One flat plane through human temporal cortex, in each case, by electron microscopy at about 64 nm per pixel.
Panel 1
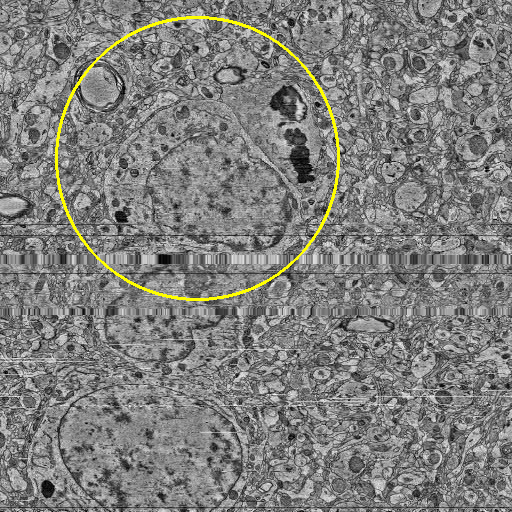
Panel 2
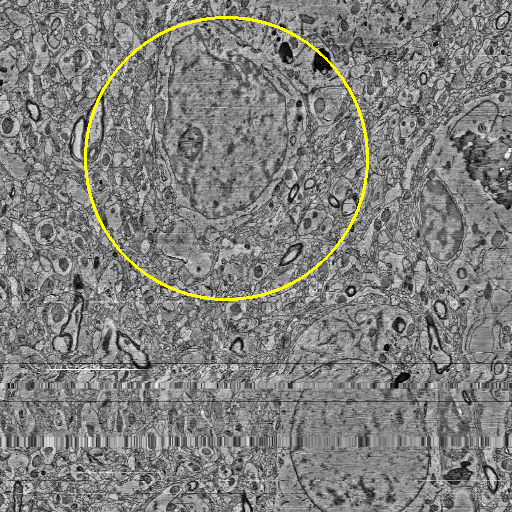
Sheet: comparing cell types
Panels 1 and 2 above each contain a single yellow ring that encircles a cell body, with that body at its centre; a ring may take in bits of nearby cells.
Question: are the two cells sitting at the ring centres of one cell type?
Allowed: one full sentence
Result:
Yes, the ring-centre cells in Panel 1 and Panel 2 are of one type.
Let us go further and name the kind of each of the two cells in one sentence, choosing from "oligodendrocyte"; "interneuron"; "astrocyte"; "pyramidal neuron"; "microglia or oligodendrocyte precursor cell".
The cell in the first picture is an interneuron, and so is the one in the second.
